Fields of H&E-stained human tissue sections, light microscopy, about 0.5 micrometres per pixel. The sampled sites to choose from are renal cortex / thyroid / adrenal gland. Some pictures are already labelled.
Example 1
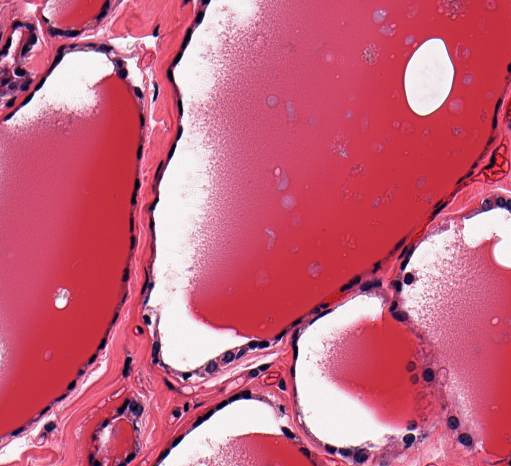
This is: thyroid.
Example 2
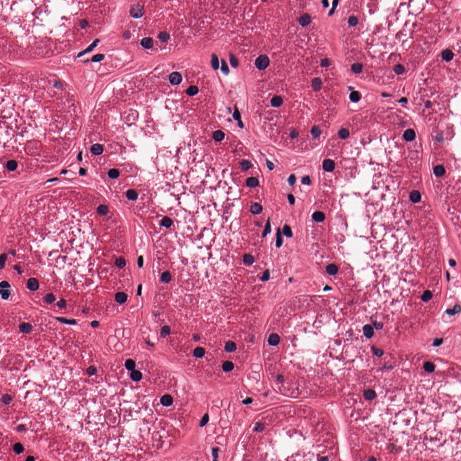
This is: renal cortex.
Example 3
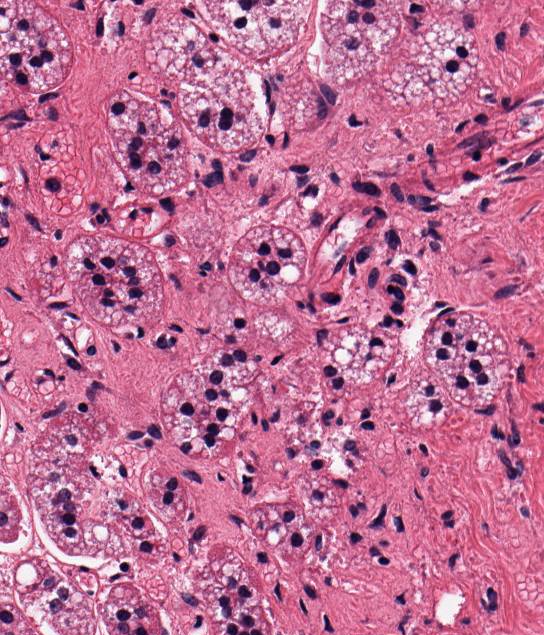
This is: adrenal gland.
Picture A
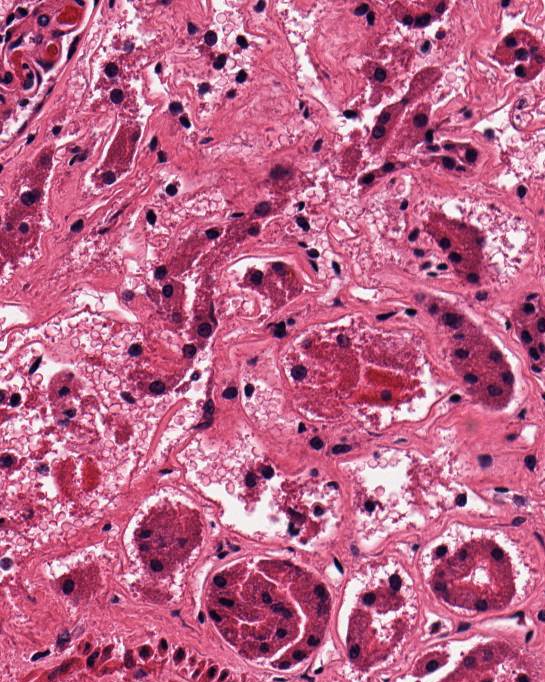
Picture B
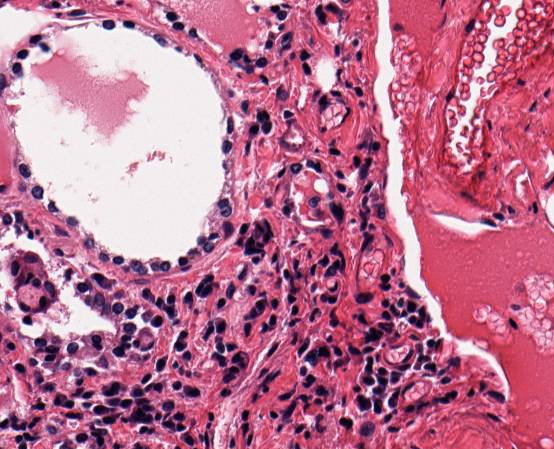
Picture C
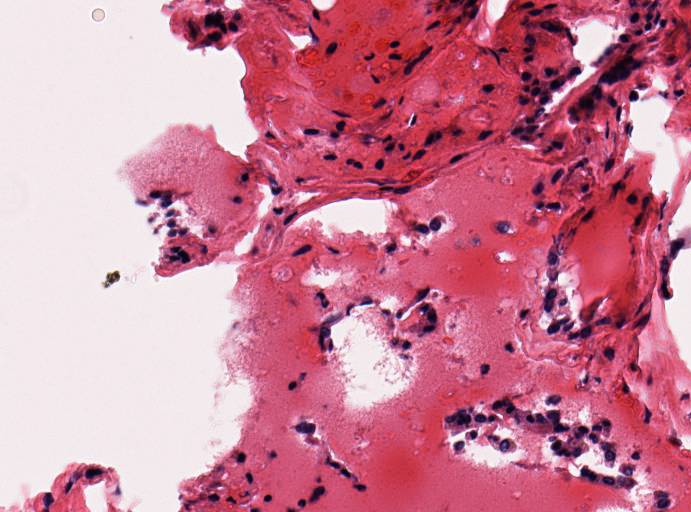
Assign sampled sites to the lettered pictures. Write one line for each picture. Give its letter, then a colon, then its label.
A: renal cortex.
B: thyroid.
C: thyroid.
